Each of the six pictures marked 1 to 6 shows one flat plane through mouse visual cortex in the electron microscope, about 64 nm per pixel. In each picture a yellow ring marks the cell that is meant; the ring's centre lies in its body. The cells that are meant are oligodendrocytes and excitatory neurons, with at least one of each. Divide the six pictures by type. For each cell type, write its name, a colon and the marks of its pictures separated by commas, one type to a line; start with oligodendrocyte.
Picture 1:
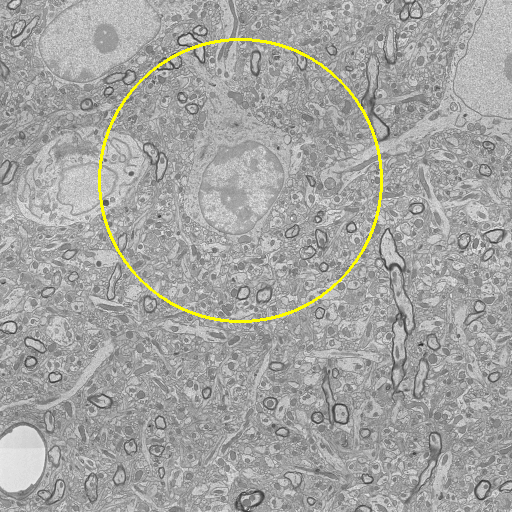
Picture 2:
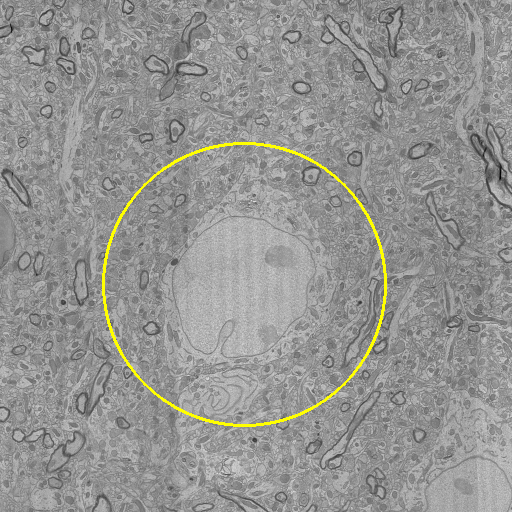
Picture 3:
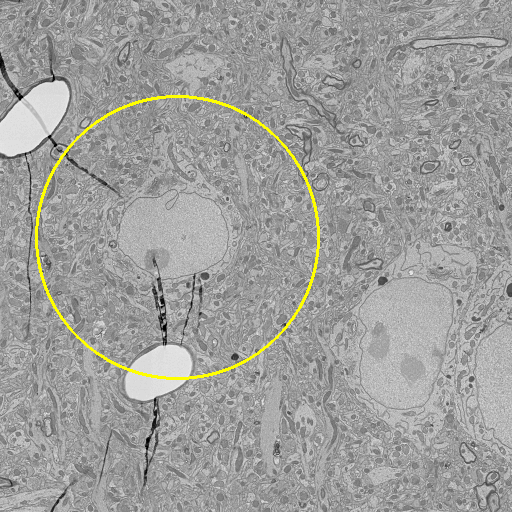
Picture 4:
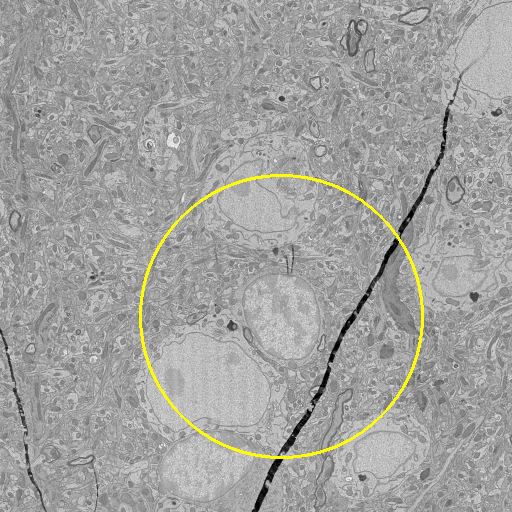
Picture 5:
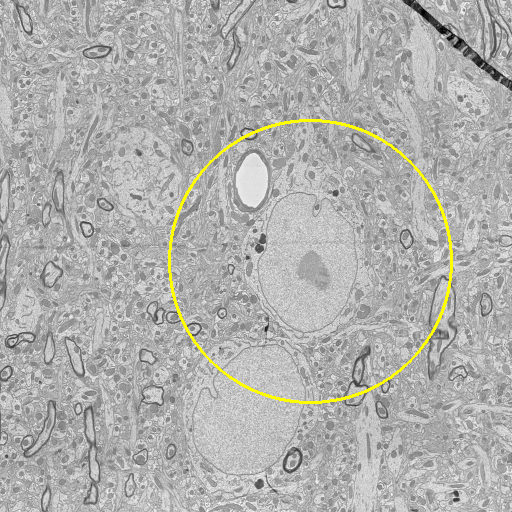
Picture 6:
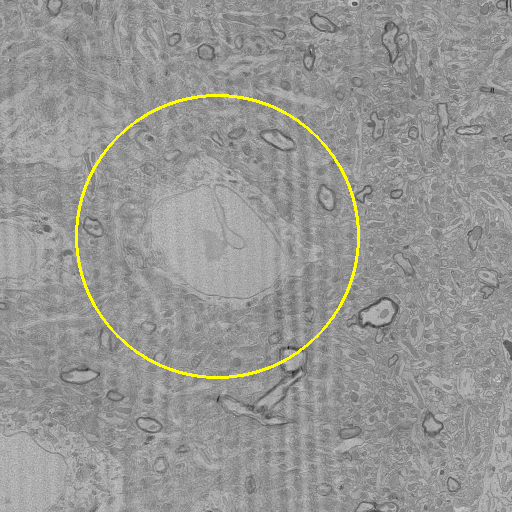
oligodendrocyte: 1, 4
excitatory neuron: 2, 3, 5, 6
